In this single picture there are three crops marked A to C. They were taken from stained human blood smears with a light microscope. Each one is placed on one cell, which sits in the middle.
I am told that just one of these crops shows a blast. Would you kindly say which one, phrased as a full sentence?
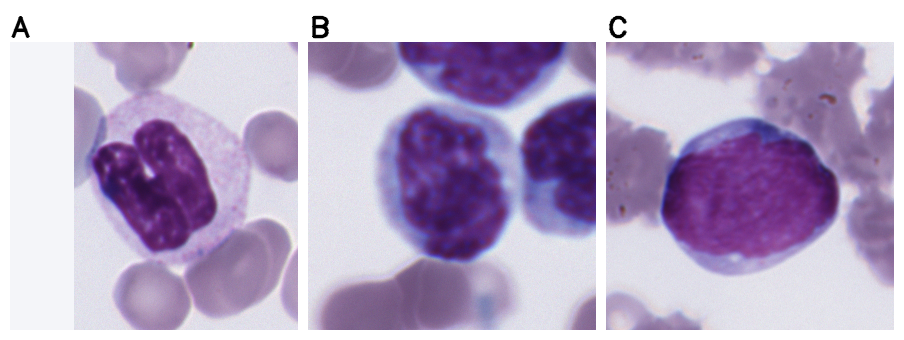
Crop C matches the request, showing a blast.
